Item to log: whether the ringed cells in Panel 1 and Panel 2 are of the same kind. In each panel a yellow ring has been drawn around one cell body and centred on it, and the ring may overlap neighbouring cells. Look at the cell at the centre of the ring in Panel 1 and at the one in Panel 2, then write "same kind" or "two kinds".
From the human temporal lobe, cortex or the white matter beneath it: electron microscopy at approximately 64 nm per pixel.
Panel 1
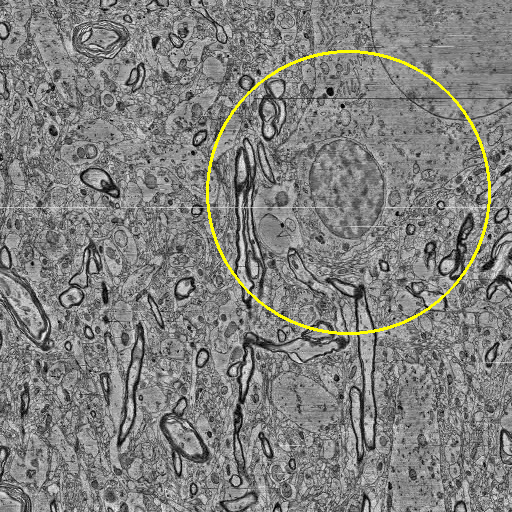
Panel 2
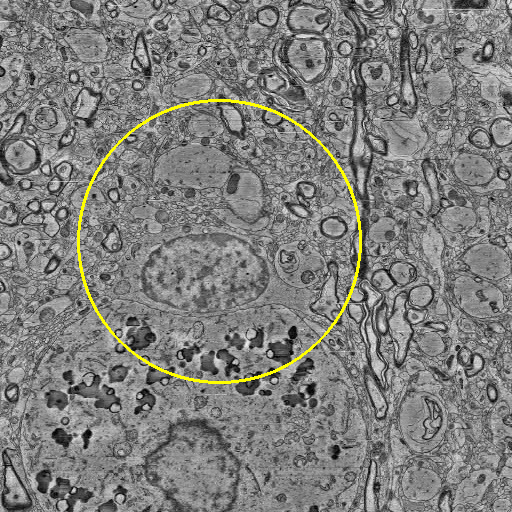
same kind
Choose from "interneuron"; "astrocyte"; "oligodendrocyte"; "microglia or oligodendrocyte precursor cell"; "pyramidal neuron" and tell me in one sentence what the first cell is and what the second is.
Each of the two rings surrounds an oligodendrocyte.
